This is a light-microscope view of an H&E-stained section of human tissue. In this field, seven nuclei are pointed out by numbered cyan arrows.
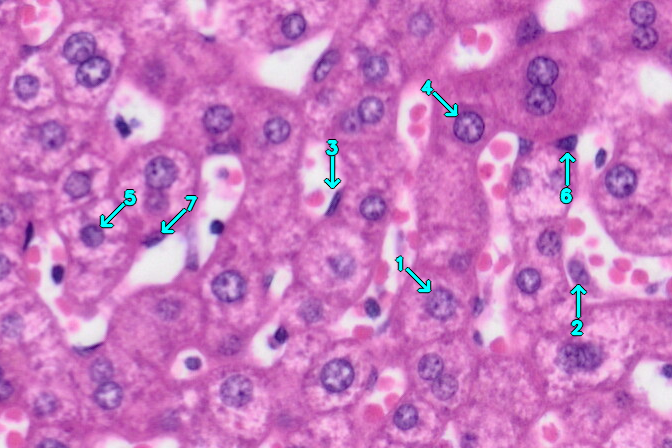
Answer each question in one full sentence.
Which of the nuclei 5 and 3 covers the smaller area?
The smaller nucleus is 3, and 5 covers roughly 2 times its area.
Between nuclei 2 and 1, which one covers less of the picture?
Nucleus 2 covers less area, with nucleus 1 about 2 times as large.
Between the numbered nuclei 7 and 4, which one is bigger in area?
Of the two, number 4 is bigger and takes up about 2.5 times the area of number 7.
